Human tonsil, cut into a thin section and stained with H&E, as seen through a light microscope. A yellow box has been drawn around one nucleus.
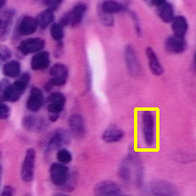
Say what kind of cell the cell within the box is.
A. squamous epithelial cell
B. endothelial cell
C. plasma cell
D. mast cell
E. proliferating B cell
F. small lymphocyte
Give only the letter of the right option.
D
